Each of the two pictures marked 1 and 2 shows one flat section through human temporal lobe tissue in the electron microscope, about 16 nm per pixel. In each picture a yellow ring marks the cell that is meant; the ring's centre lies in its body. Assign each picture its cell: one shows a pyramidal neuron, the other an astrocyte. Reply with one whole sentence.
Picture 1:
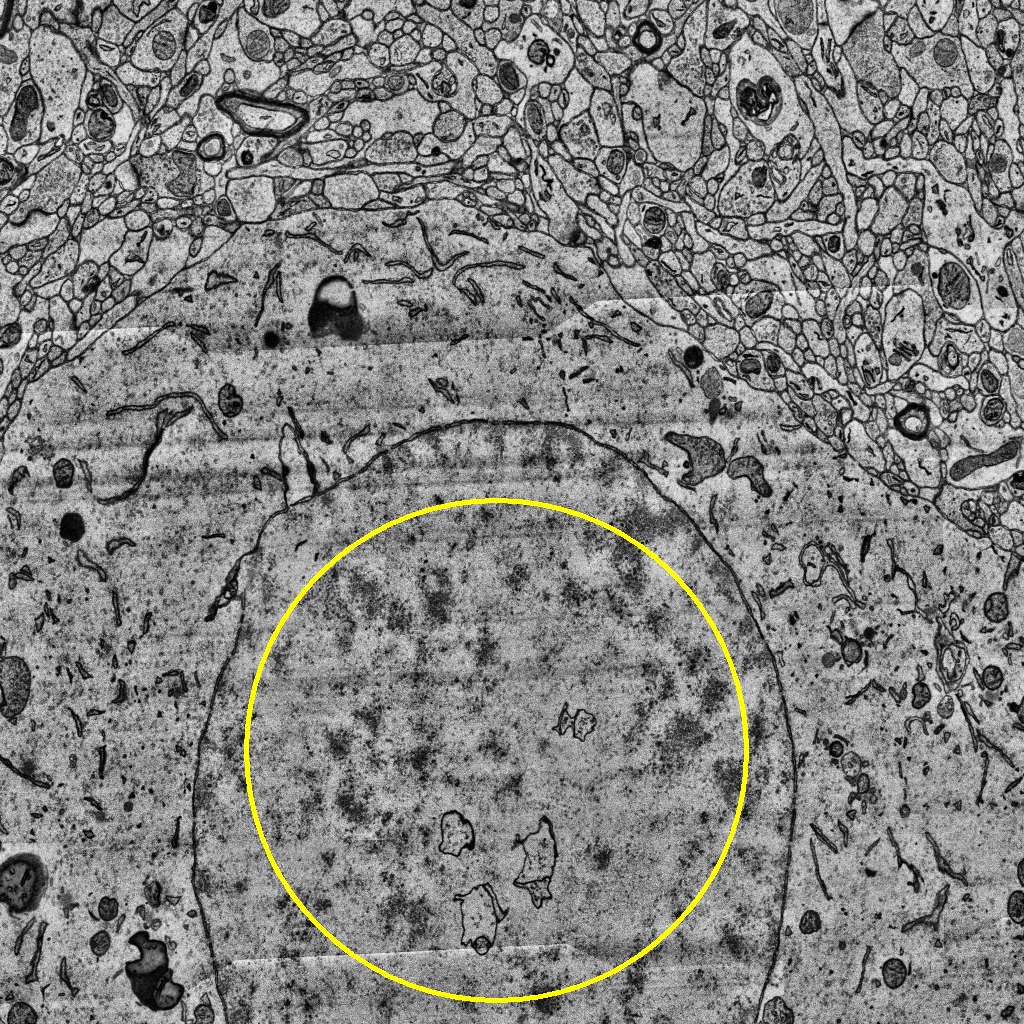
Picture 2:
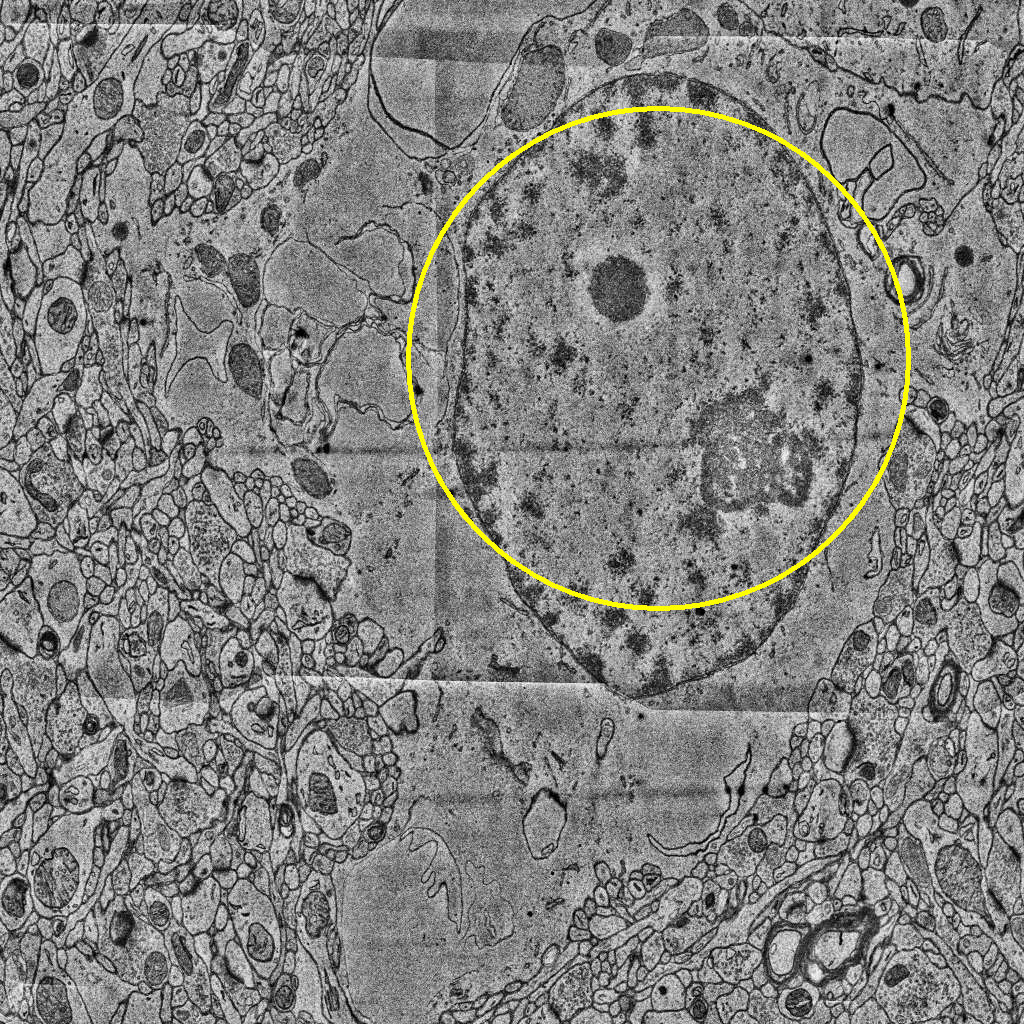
In picture 1 the cell is a pyramidal neuron; in picture 2, an astrocyte.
